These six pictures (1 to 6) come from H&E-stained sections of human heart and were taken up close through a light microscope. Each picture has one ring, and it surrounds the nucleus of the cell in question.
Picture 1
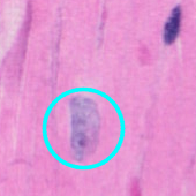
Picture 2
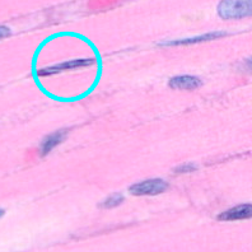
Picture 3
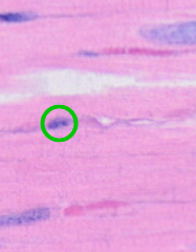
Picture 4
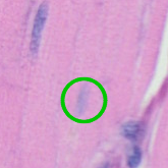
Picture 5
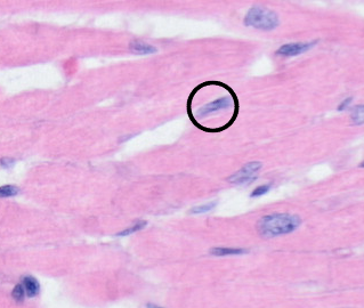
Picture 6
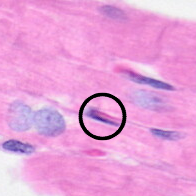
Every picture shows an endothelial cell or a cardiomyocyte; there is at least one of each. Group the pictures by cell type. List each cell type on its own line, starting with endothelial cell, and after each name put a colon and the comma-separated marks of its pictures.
endothelial cell: 2, 3, 5, 6
cardiomyocyte: 1, 4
